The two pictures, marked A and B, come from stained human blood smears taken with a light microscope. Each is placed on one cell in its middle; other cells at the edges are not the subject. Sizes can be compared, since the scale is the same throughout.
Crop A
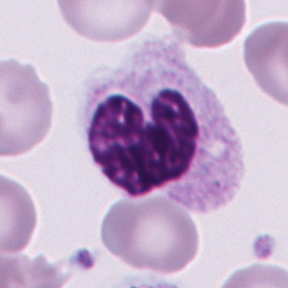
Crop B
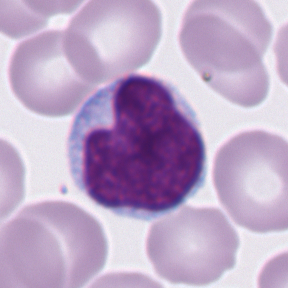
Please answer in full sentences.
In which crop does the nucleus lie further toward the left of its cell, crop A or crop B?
In crop A the nucleus is shifted more toward the left.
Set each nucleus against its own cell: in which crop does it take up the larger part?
It is the cell in crop B that is filled more by its nucleus.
